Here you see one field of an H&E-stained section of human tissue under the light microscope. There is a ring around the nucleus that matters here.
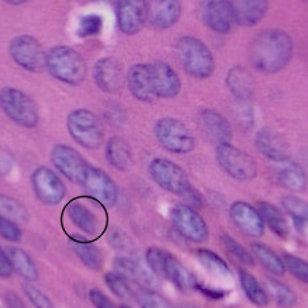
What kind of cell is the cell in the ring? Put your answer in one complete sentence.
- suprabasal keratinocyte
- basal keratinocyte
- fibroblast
For the purposes of cell typing, the cell in the ring is categorized as a basal keratinocyte.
